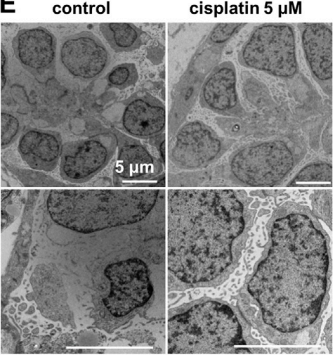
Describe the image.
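Between the cells in the right-hand images lie pale spaces crossed by a lacy network of thin, interdigitating cytoplasmic processes. Cell membranes are closely apposed elsewhere, and there is no capillary lumen in view.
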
